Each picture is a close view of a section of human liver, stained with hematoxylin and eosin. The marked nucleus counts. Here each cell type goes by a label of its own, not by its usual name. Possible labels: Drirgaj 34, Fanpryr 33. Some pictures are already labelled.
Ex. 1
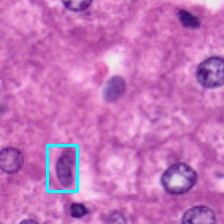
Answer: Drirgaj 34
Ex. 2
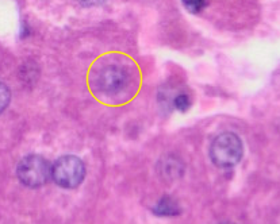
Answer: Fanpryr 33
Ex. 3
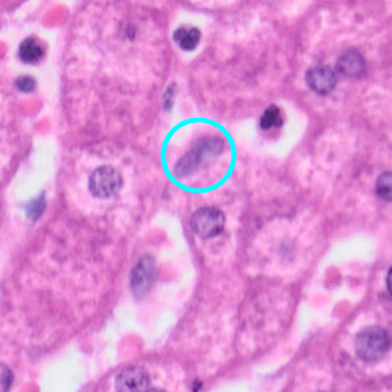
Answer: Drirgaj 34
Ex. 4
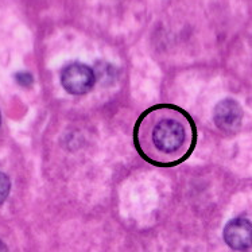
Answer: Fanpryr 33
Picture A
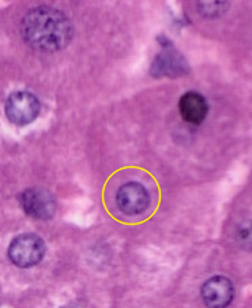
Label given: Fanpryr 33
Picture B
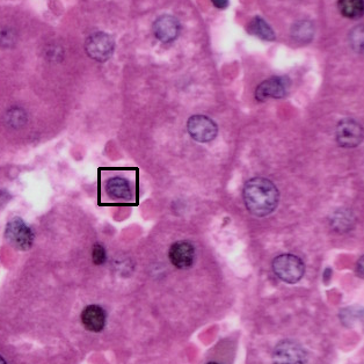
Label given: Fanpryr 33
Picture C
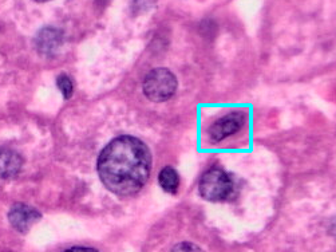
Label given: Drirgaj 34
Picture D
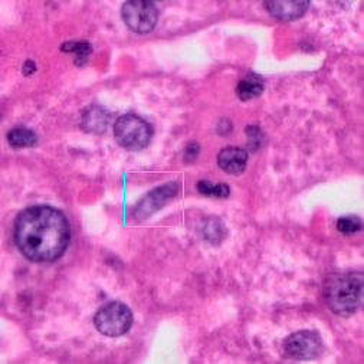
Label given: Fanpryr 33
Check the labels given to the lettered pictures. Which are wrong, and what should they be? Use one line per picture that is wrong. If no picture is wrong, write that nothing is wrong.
B: change Fanpryr 33 to Drirgaj 34
D: change Fanpryr 33 to Drirgaj 34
